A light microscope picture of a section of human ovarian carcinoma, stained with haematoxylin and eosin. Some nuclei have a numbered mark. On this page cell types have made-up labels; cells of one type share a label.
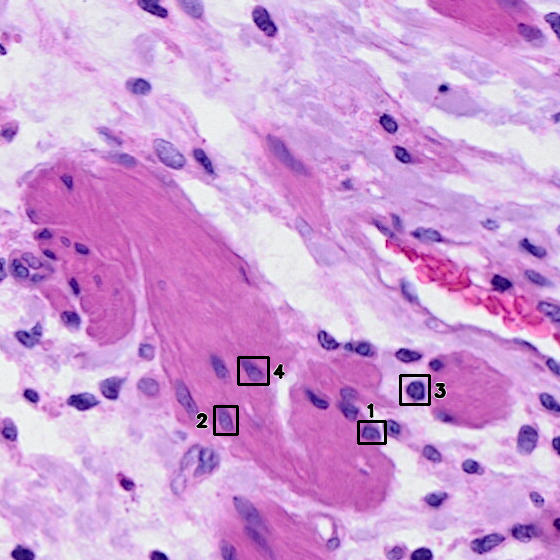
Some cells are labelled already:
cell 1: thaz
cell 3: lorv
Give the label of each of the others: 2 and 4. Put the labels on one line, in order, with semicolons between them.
thaz; thaz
